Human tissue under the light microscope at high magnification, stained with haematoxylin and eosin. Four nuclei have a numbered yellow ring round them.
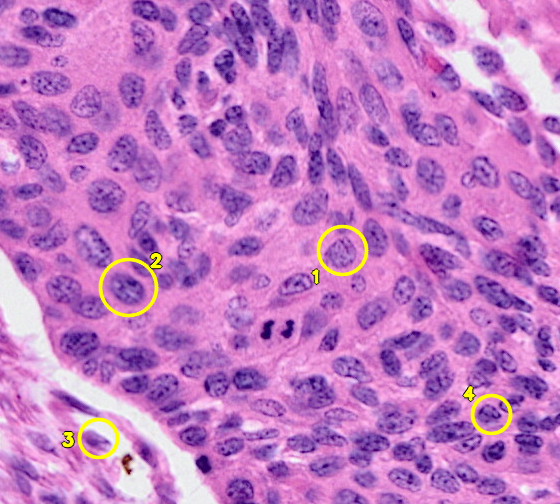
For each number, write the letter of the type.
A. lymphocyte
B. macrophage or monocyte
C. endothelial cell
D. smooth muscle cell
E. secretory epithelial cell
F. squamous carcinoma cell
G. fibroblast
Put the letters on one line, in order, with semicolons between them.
F; F; G; F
